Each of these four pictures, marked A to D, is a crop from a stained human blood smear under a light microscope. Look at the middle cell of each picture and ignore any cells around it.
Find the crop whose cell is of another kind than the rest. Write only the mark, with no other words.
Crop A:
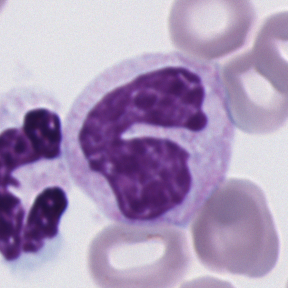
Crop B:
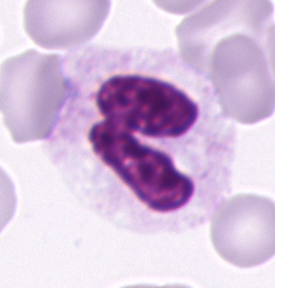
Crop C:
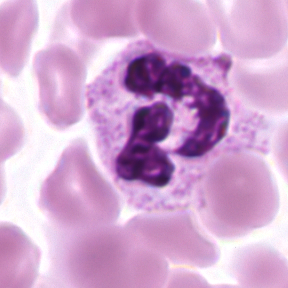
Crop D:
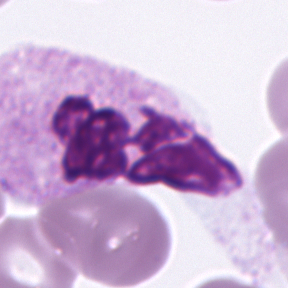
A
